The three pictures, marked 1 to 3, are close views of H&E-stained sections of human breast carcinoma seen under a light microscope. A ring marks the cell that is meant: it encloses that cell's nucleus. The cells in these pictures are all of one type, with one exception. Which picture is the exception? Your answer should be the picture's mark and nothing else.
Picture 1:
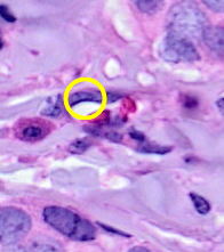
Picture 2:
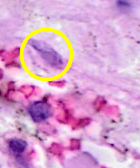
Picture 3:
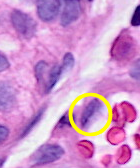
2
